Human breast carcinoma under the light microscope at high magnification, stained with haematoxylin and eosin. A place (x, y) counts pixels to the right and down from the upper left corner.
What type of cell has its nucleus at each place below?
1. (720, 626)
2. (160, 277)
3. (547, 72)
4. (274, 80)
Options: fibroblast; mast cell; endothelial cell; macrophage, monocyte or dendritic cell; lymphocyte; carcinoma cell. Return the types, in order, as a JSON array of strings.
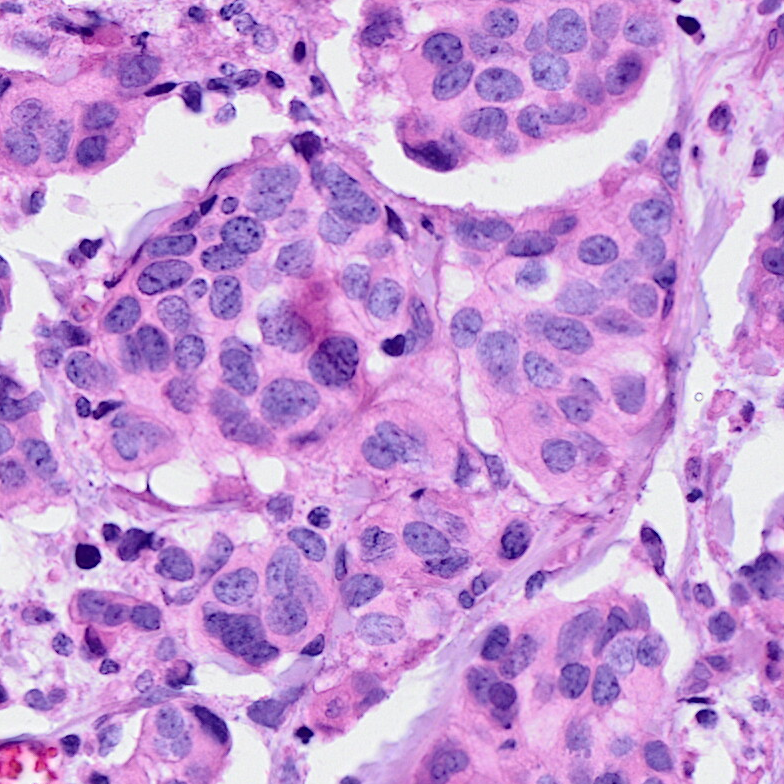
["carcinoma cell", "carcinoma cell", "carcinoma cell", "lymphocyte"]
